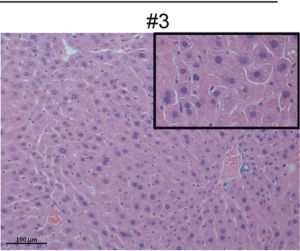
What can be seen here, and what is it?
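Polygonal liver cells with pink, finely granular cytoplasm and round central purple nuclei lie in orderly plates separated by thin sinusoidal spaces, with a small vessel holding red blood cells. Clear fat vacuoles are essentially absent. The liver parenchyma looks close to normal, without steatosis.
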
